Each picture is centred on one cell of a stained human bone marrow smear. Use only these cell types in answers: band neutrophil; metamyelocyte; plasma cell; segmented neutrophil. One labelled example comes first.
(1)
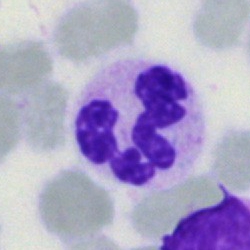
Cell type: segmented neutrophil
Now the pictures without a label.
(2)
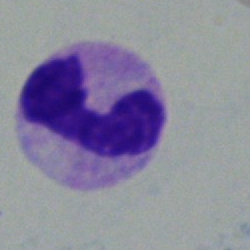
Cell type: band neutrophil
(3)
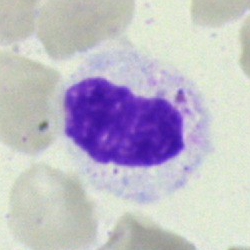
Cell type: metamyelocyte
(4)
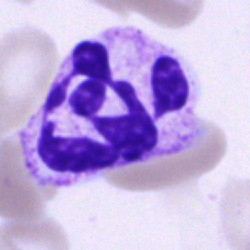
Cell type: segmented neutrophil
